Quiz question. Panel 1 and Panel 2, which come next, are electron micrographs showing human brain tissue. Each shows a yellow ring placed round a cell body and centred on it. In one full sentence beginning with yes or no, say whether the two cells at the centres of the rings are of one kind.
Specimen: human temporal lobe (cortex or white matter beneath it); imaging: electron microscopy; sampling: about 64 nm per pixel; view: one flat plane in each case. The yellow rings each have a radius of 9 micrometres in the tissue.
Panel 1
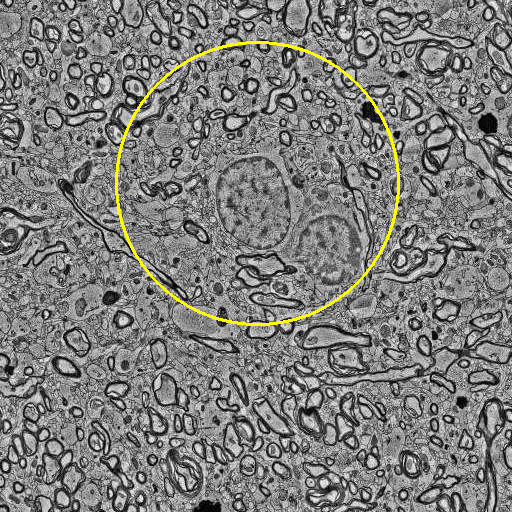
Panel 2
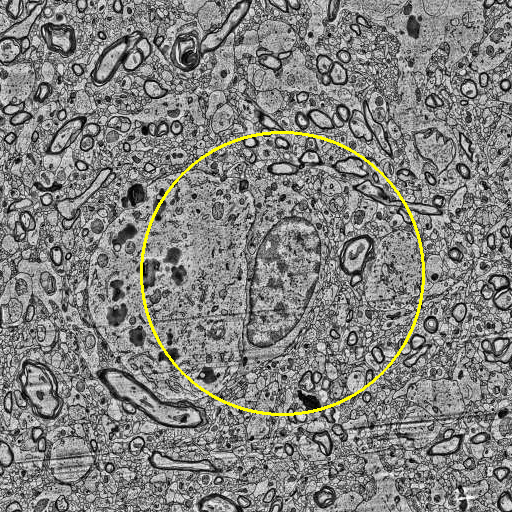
No, Panel 1 and Panel 2 show two kinds of cell at the centre of the ring.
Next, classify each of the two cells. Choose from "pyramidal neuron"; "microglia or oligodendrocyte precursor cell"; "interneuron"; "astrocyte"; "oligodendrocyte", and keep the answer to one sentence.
In the first picture it is a microglial cell or oligodendrocyte precursor cell; in the second it is an oligodendrocyte.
